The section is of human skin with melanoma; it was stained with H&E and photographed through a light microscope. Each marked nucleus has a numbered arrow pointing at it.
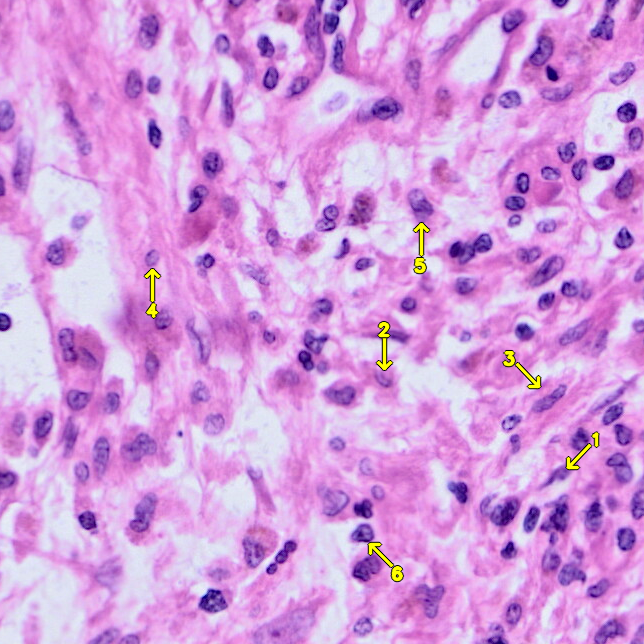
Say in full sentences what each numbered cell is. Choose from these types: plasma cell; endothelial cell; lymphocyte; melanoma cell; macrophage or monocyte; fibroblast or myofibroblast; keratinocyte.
Cell 1 is a fibroblast or myofibroblast. Cells 2, 3, 4 and 5 are macrophages or monocytes. Cell 6 is a lymphocyte.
